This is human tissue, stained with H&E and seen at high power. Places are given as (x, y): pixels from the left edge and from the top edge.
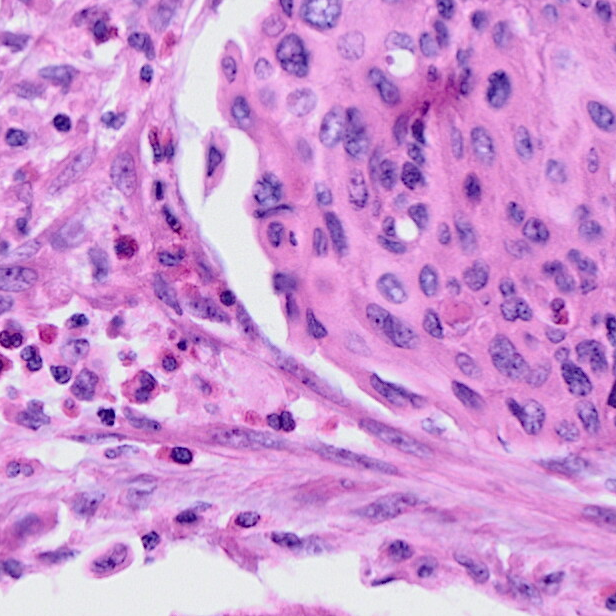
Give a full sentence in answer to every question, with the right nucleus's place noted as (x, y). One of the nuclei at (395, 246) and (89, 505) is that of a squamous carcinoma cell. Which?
The nucleus of a squamous carcinoma cell is the one at (395, 246).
